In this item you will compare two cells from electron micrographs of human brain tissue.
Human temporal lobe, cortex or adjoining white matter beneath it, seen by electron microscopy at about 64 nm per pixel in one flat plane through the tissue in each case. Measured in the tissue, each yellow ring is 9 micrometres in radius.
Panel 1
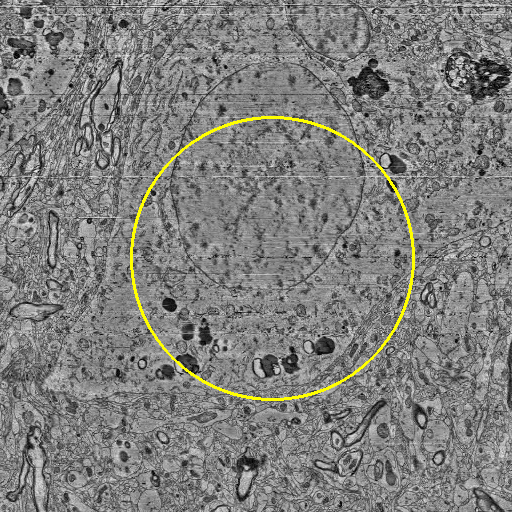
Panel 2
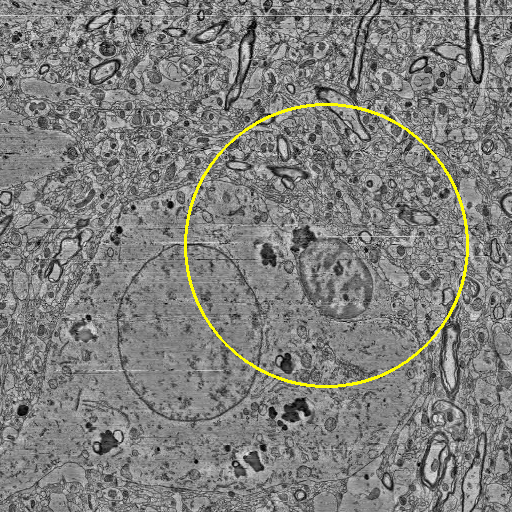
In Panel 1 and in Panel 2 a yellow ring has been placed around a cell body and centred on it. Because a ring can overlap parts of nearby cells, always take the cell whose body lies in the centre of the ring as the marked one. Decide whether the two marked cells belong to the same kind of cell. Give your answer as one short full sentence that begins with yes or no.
No, the two marked cells belong to two kinds of cell.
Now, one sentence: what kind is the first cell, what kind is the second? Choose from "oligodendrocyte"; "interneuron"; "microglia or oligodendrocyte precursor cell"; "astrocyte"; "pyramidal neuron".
The first picture has a pyramidal neuron at its ring centre, and the second has an oligodendrocyte.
